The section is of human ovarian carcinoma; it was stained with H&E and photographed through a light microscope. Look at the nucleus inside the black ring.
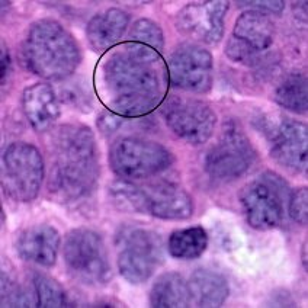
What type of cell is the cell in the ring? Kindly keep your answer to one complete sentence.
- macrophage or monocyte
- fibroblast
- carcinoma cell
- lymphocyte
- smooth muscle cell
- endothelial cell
In cell-type terms, the cell in the ring is a carcinoma cell.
